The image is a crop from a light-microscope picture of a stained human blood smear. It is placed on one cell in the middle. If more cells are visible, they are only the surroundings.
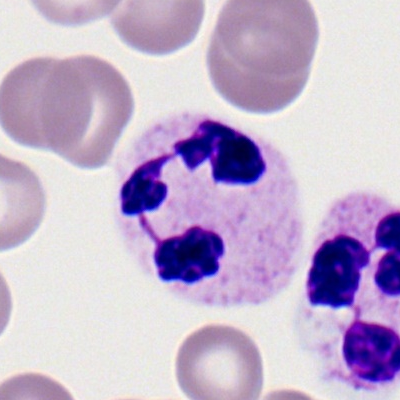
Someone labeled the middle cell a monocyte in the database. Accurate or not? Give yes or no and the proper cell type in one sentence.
No, the central cell does not represent a monocyte, but a segmented neutrophil.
